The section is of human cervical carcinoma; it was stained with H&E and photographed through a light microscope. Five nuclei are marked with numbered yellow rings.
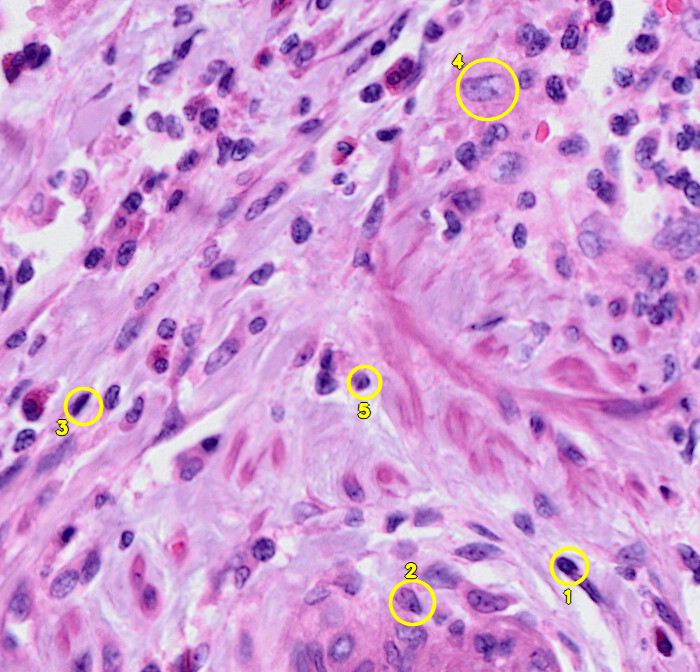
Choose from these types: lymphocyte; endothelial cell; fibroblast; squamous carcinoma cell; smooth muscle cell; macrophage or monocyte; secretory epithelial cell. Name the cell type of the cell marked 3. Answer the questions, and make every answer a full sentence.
Marked with the number 3, this cell is a lymphocyte.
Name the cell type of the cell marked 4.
Identified as an endothelial cell is the cell bearing the number 4.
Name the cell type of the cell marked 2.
Among the marked cells, number 2 is a macrophage or monocyte.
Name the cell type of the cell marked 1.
The cell referenced by the number 1 is a lymphocyte in this field.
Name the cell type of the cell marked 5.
The cell indicated by marker 5 is a lymphocyte in this section.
